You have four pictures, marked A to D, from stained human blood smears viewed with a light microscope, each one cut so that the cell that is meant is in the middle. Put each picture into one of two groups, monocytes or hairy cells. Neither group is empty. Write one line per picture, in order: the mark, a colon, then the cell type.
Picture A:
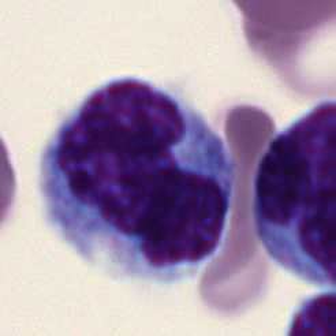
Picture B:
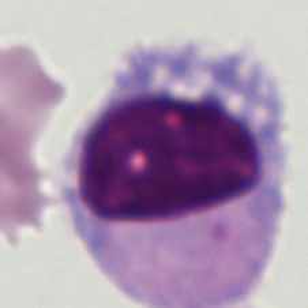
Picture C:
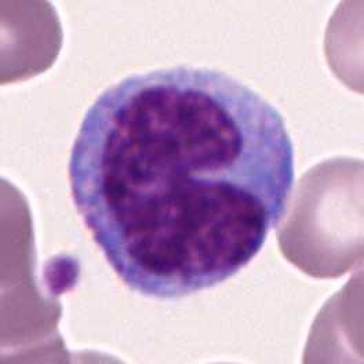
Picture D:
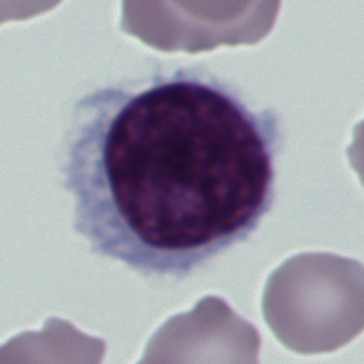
A: monocyte
B: hairy cell
C: monocyte
D: hairy cell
